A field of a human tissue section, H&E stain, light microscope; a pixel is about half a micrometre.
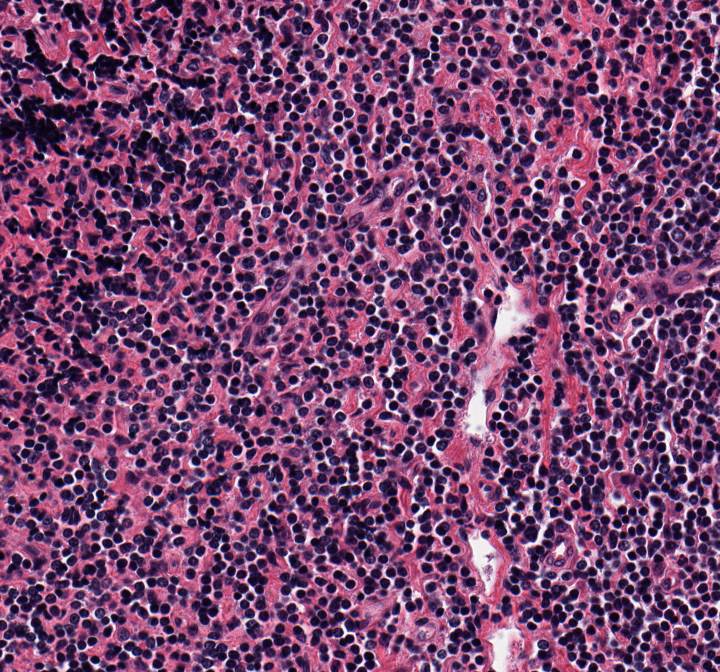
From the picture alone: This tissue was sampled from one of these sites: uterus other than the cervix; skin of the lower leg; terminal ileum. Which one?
terminal ileum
